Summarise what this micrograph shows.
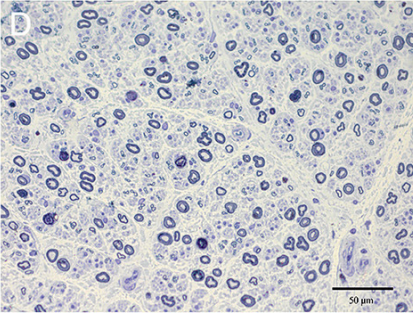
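Semithin cross-section of peripheral nerve with myelinated fibers seen as dark blue rings around pale axons. The fibers are unevenly spaced with pale areas between them, and a few profiles appear as dense dark blobs.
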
